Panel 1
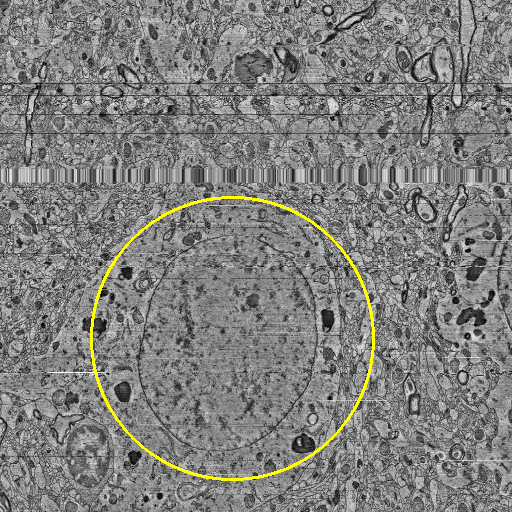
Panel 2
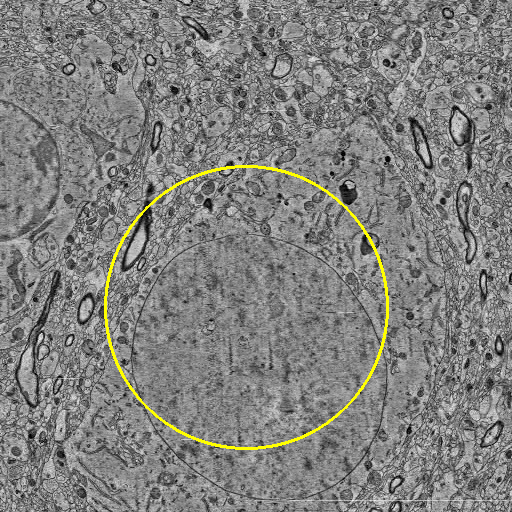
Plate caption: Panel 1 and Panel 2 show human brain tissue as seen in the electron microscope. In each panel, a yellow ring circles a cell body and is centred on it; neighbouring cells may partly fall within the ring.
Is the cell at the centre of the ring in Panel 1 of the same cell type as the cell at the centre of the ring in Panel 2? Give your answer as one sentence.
Yes, the two cells are of the same type.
